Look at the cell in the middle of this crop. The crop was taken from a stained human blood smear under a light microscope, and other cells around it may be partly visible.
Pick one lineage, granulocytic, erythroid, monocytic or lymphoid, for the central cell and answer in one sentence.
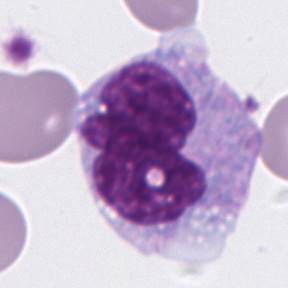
Regarding its lineage, the centered cell is monocytic.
